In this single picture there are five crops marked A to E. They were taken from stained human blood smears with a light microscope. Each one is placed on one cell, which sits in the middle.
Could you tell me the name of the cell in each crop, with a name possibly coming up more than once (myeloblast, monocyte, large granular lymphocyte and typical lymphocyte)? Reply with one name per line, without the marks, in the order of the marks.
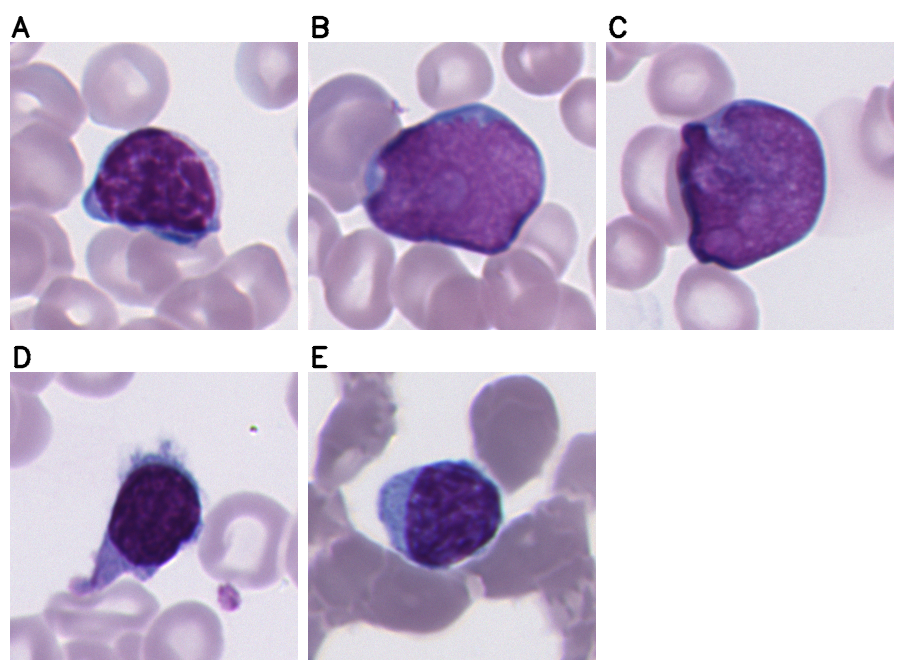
typical lymphocyte
myeloblast
myeloblast
typical lymphocyte
typical lymphocyte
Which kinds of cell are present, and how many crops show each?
typical lymphocyte: 3
myeloblast: 2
